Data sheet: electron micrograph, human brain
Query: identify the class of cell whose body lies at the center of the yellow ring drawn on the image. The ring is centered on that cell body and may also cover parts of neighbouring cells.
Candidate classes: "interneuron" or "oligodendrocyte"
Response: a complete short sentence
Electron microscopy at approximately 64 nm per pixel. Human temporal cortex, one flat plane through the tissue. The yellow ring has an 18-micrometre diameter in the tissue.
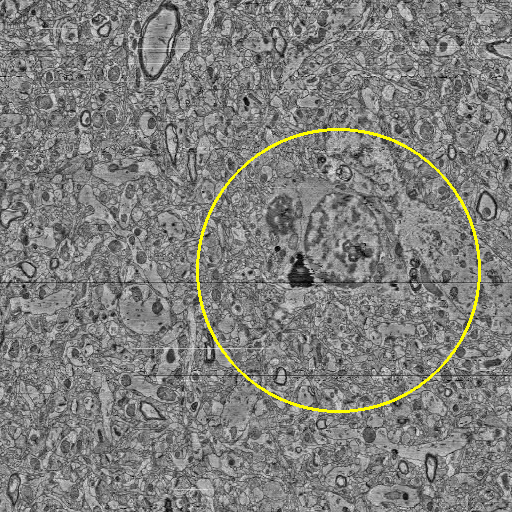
At the center of the ring lies an oligodendrocyte.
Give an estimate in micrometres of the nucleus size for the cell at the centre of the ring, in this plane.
Approximately 7 x 5 micrometres in this plane.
